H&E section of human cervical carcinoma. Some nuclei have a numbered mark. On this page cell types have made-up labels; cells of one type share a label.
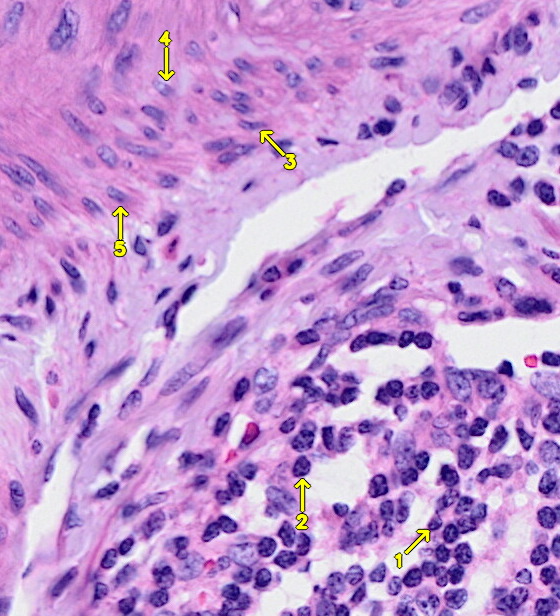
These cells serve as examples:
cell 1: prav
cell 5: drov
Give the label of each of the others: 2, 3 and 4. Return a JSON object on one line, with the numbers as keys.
{"2": "prav", "3": "drov", "4": "drov"}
